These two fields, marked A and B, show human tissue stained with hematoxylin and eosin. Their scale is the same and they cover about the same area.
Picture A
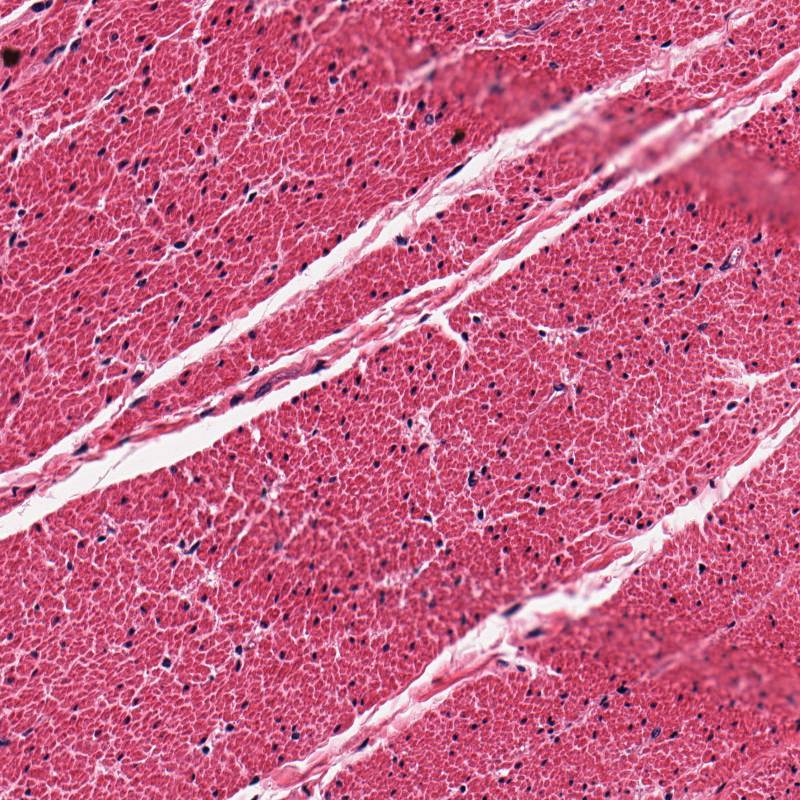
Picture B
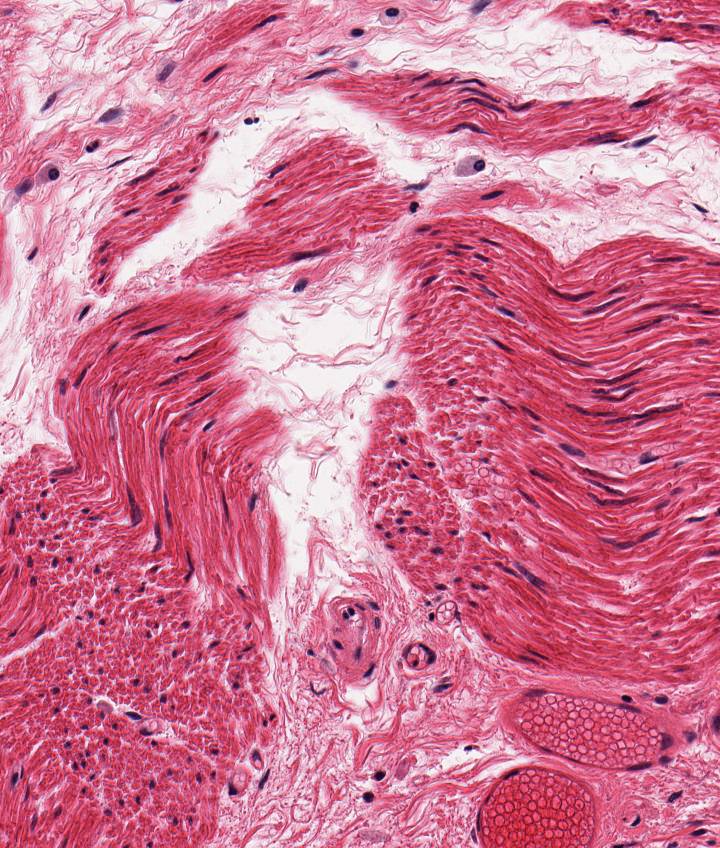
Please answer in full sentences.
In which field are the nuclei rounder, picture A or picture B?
On the whole the nuclei of picture A are rounder than those of picture B.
